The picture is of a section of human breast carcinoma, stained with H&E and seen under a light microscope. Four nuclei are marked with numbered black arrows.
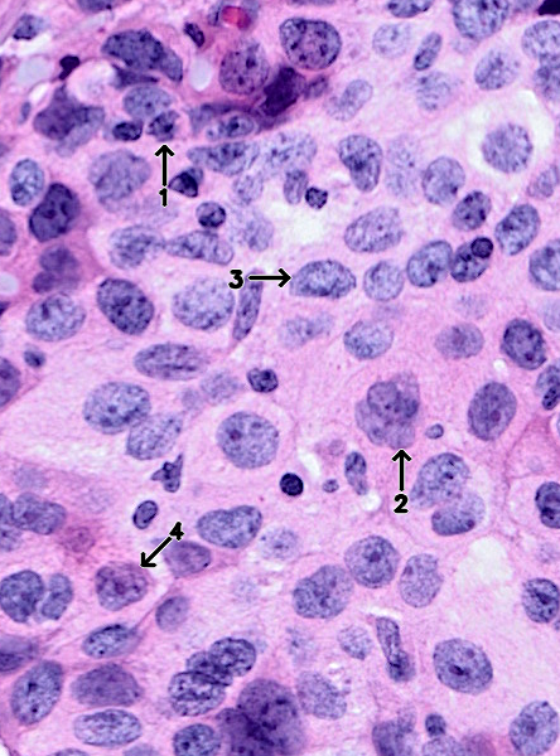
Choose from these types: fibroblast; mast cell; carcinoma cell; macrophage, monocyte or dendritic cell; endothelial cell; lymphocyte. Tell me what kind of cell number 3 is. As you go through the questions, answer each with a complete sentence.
Cell 3, among those numbered, is a carcinoma cell.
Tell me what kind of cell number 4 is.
The marked cell bearing number 4 is a carcinoma cell.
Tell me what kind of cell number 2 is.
The cell pointed out by number 2 is a carcinoma cell.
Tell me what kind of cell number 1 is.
Belonging to a lymphocyte is the nucleus that carries the number 1.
